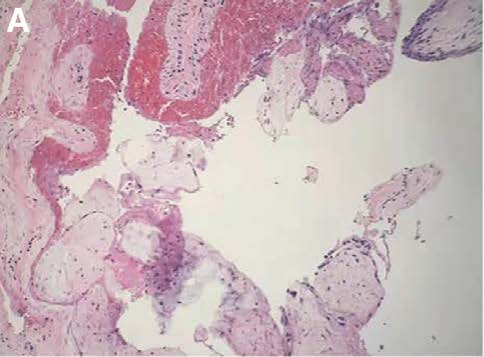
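Chorionic villi lie within a hemorrhagic mass. Broad bands of red blood run across the upper and left parts of the field. Below and to the right lie rounded and oval villous fragments with pale, loose, faintly pink cores and scattered small nuclei. A thin layer of cells covers some of them. A few fragments look frayed or partly broken. Toward the lower middle is a small cluster of purple cells beside a pinker fragment. Clear empty space separates many of the fragments.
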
